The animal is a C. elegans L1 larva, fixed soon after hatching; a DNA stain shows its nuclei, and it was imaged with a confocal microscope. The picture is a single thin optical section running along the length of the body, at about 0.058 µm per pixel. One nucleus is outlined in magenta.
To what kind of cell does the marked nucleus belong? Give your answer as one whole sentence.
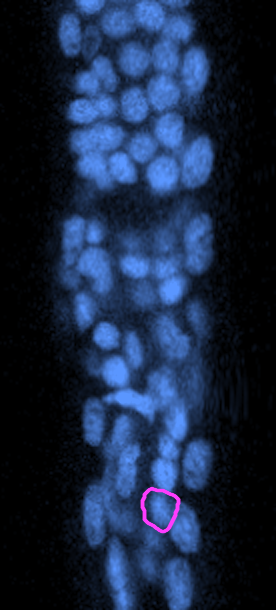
This is the nucleus of a glial cell (sheath or socket).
